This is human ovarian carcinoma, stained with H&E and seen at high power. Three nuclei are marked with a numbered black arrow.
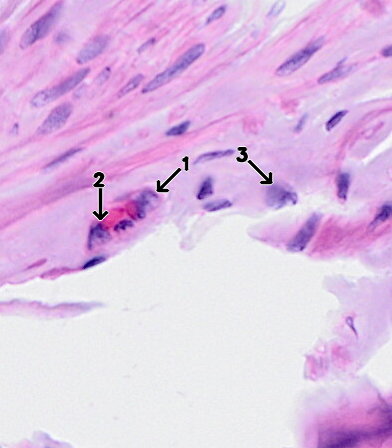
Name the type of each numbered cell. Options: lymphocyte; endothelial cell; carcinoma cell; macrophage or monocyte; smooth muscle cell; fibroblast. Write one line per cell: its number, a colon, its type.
1: endothelial cell
2: endothelial cell
3: fibroblast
